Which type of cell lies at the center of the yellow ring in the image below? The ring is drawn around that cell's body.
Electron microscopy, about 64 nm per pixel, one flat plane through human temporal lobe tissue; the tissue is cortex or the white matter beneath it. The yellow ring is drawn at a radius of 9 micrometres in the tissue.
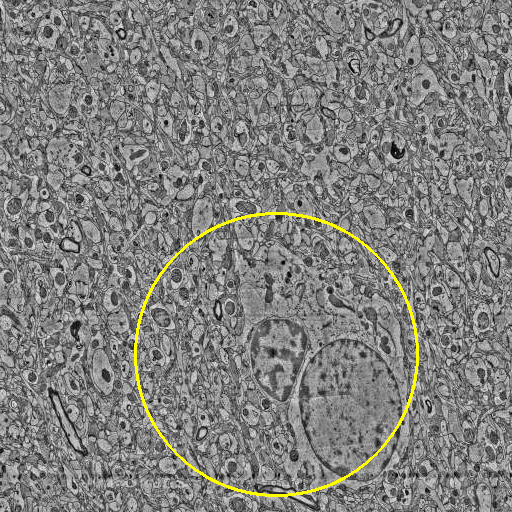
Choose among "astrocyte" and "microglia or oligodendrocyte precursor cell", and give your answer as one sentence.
The cell body at the center belongs to a microglial cell or oligodendrocyte precursor cell.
